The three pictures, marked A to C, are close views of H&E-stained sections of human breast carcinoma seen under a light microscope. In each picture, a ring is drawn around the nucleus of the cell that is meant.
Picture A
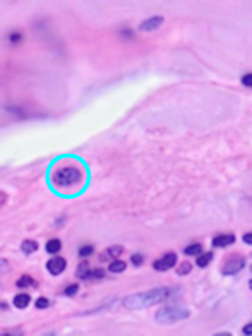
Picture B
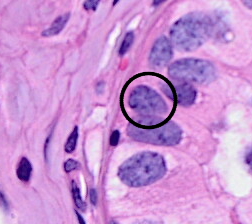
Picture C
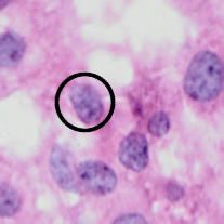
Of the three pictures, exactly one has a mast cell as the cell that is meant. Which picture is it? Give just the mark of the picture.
A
